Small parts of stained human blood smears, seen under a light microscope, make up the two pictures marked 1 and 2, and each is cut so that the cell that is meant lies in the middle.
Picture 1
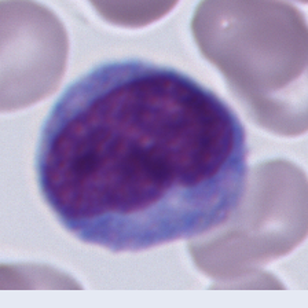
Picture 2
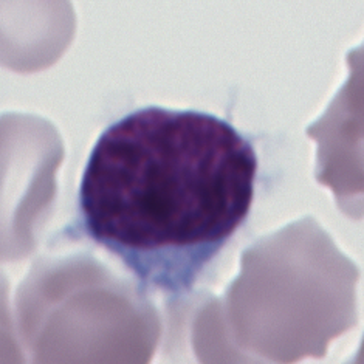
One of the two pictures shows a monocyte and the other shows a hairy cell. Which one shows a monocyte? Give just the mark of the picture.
1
